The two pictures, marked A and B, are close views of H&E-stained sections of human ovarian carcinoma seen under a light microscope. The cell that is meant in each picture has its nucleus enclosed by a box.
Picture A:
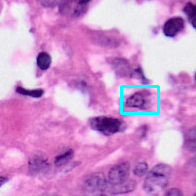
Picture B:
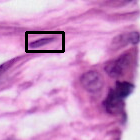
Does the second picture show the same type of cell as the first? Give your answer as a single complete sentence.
No, the types are not the same, since picture A shows a “macrophage or monocyte” and picture B a fibroblast.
